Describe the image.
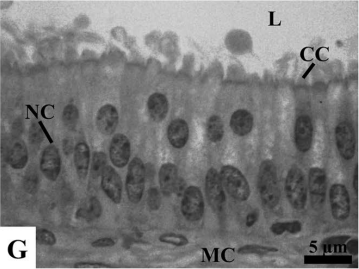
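This is the lining of an efferent ductule, a pseudostratified columnar epithelium of ciliated and nonciliated cells resting on a thin layer of muscle cells. Beneath the epithelium lie flattened, elongated nuclei of the muscle layer.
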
